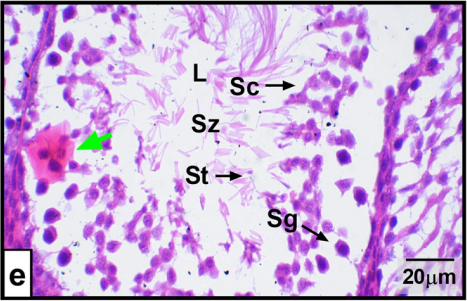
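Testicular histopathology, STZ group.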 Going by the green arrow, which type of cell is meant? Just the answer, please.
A: Multinucleated cell.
